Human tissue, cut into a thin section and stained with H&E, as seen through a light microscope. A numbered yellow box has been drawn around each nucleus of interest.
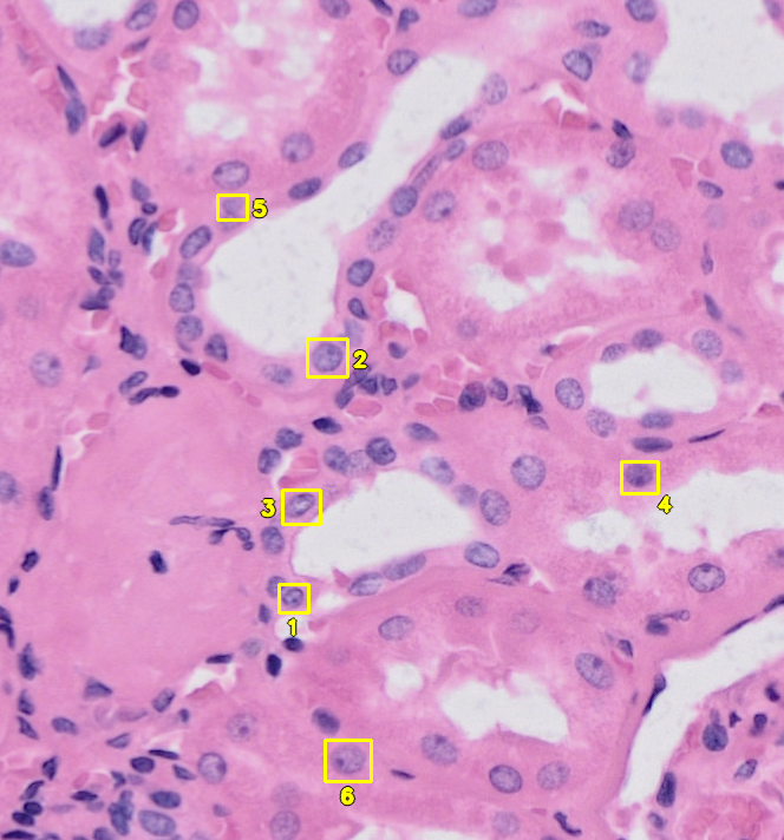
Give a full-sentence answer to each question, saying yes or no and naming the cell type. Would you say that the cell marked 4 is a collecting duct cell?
No, the cell identified by number 4 is a proximal tubule cell, not a collecting duct cell.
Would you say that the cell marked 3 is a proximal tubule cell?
No, the marker 3 sits on a collecting duct cell, not on a proximal tubule cell.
